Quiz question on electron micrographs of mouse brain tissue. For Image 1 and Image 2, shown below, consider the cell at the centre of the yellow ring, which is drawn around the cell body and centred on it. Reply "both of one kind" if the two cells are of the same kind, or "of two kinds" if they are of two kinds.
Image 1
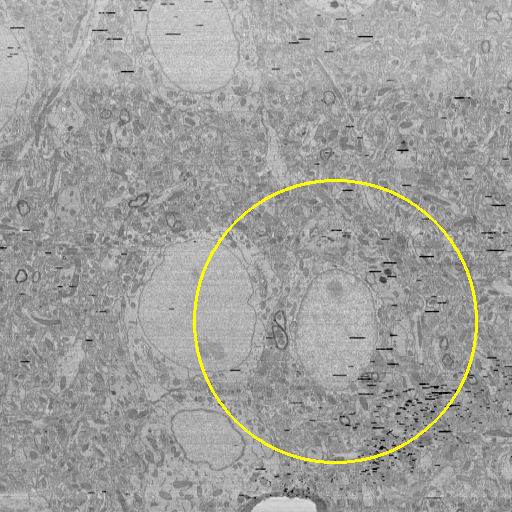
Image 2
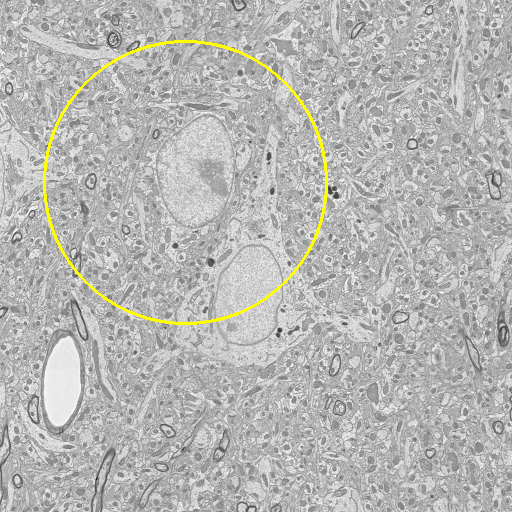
both of one kind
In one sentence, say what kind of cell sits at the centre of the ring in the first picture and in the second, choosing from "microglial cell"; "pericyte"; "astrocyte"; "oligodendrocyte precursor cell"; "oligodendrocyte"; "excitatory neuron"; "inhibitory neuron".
Each of the two rings surrounds an astrocyte.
